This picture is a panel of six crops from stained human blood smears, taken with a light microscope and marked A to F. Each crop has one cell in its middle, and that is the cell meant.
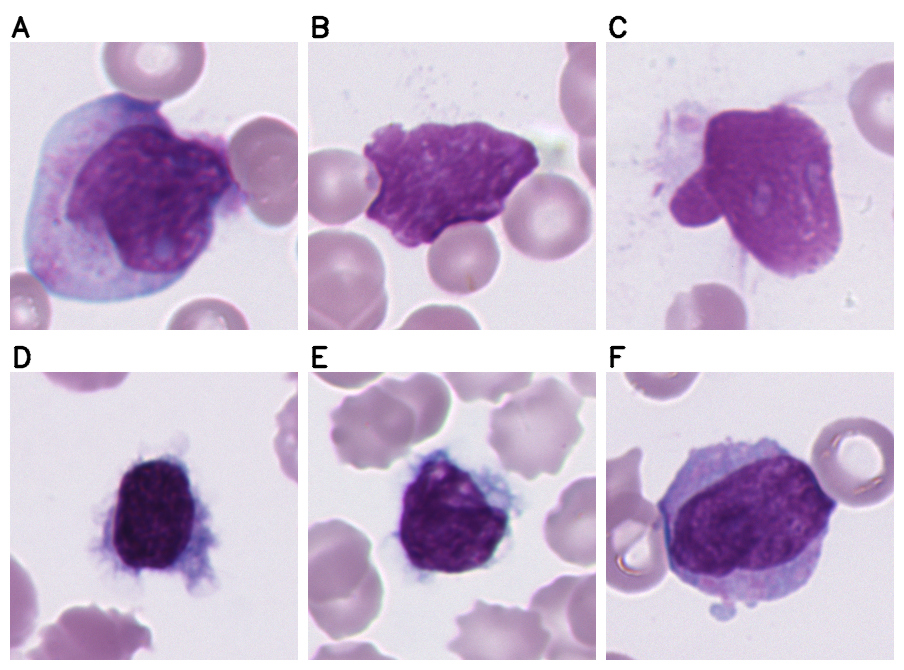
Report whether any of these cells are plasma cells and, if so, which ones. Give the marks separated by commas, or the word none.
none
